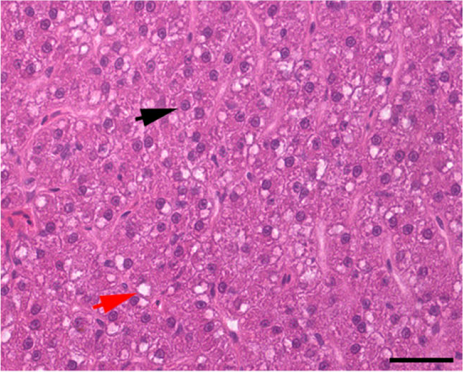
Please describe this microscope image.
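Liver tissue of tightly packed polygonal hepatocytes with pink cytoplasm, each holding a round dark purple nucleus. Many clear, round vacuoles of varying size lie in the cytoplasm, consistent with lipid droplets. Thin sinusoidal spaces run between the cords of cells.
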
